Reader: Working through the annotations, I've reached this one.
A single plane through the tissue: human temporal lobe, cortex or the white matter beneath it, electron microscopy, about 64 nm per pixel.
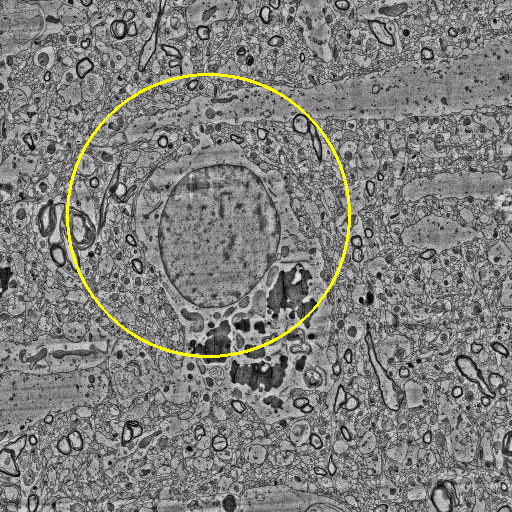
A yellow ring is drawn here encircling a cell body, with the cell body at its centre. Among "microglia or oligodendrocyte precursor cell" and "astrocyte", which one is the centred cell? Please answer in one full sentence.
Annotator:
The cell body at the centre of the yellow ring in this image belongs to an astrocyte.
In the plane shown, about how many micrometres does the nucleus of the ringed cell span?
Approximately 9 x 8 micrometres in this plane.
